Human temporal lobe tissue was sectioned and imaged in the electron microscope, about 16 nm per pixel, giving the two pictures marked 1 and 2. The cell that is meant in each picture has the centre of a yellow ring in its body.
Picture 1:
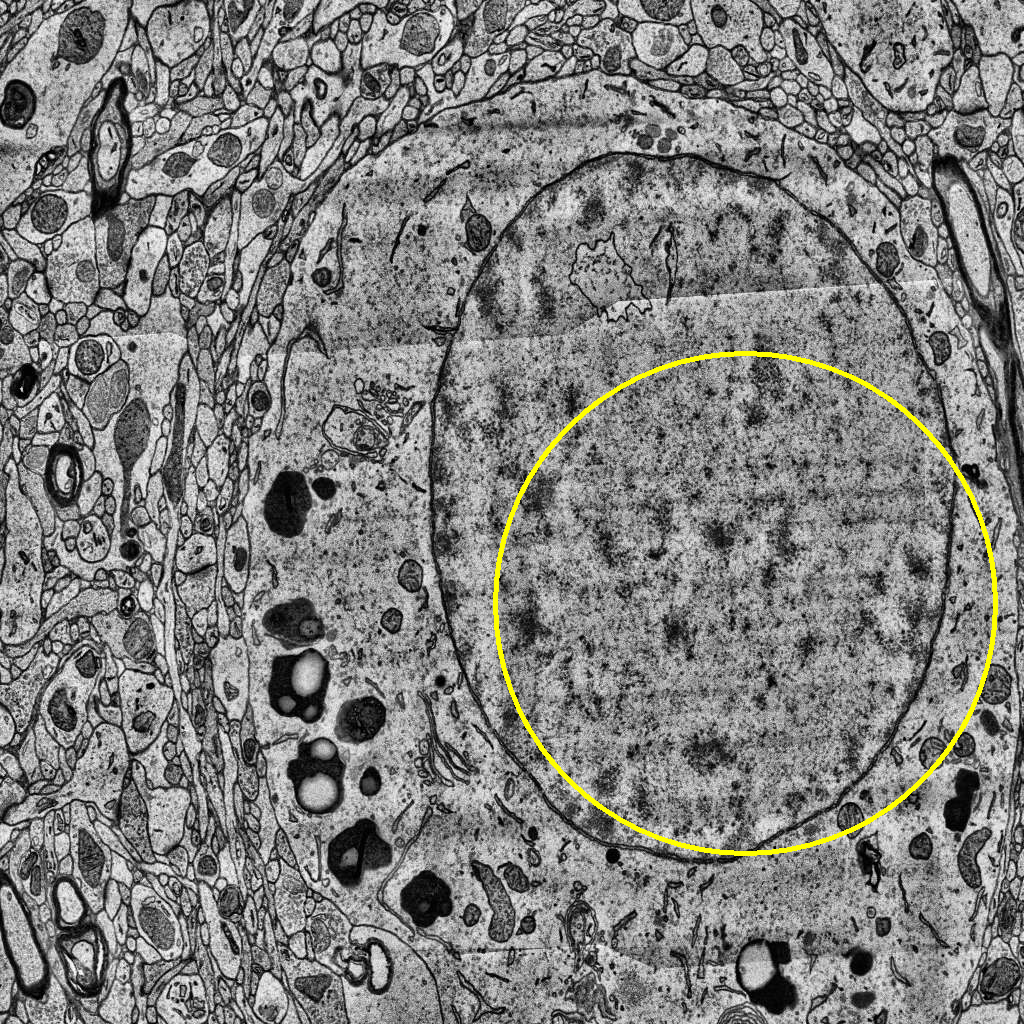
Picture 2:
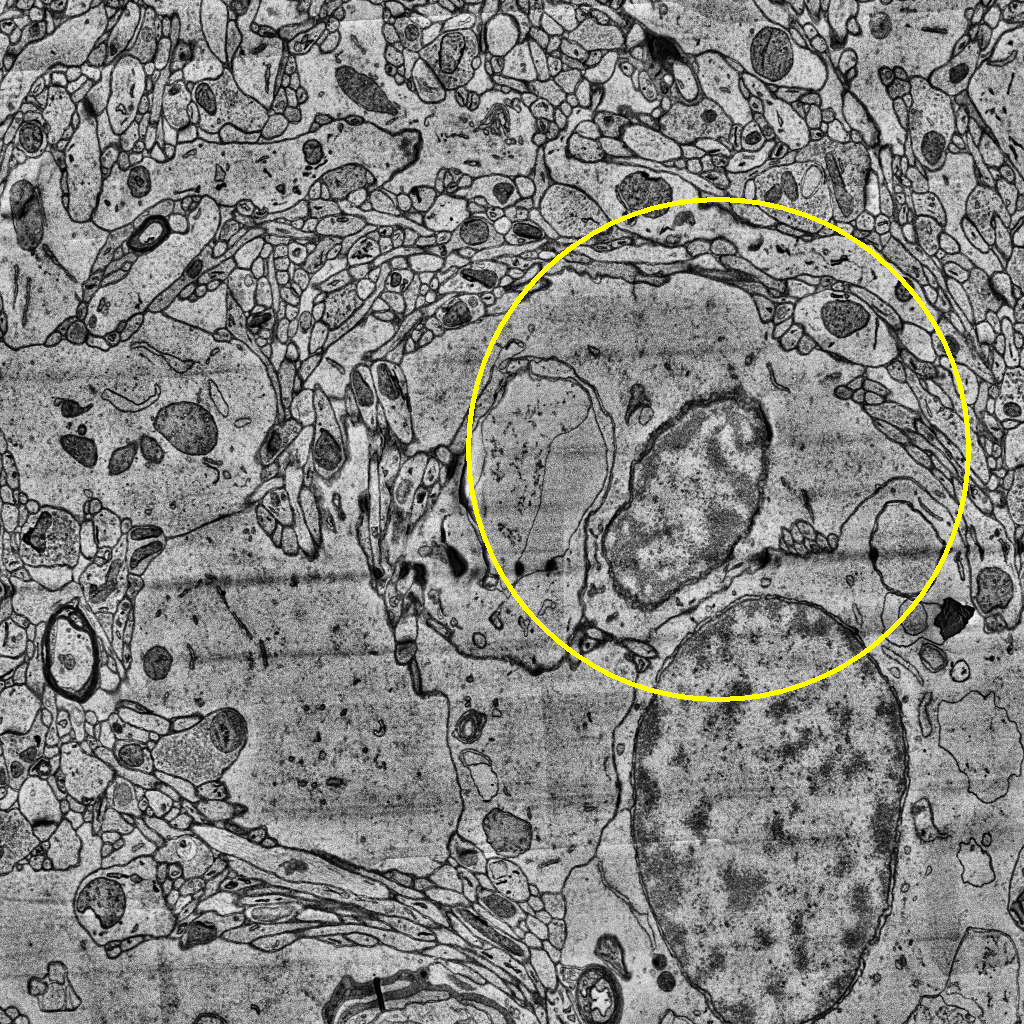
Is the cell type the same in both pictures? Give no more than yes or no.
no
